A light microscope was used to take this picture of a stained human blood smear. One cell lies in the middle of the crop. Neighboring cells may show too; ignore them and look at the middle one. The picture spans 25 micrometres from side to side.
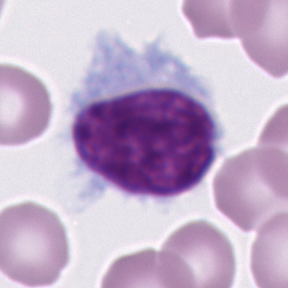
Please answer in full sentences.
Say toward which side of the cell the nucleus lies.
Toward the bottom of the cell lies its nucleus.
